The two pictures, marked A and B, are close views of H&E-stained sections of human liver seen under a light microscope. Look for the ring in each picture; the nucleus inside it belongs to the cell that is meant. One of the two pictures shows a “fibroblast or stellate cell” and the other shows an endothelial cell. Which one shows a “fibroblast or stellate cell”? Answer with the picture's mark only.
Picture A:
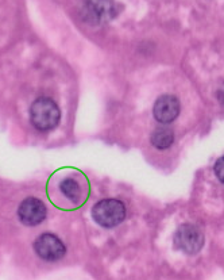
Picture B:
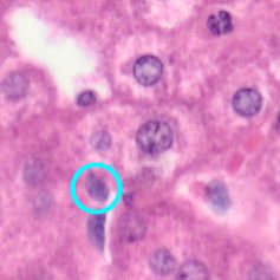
A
